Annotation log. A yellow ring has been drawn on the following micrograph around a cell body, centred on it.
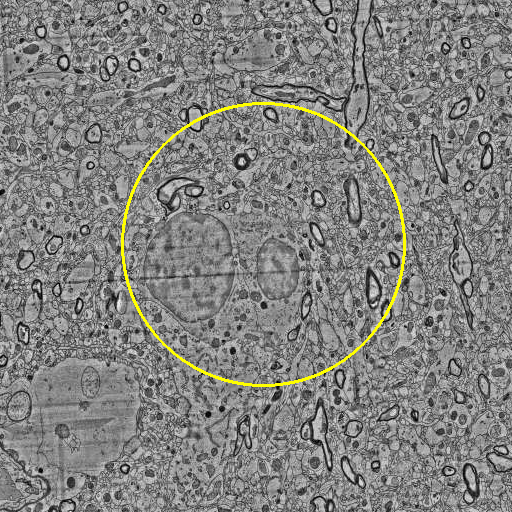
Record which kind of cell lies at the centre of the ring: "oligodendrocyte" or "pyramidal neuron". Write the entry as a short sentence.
The cell the ring is centred on is an oligodendrocyte.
